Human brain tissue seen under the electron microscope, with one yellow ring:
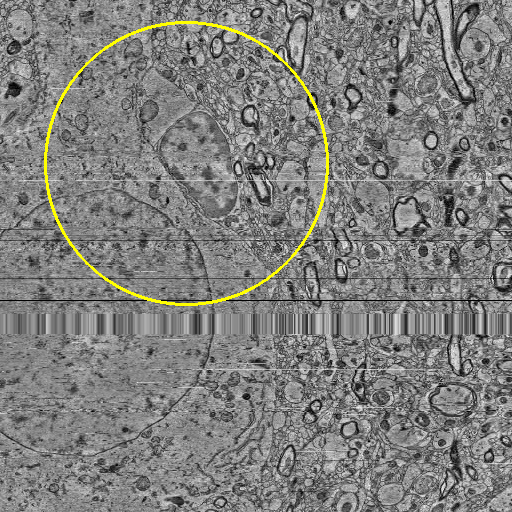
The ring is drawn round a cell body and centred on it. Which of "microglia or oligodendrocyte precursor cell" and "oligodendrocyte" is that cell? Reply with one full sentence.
The picture shows a microglial cell or oligodendrocyte precursor cell at the very centre of the yellow ring.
